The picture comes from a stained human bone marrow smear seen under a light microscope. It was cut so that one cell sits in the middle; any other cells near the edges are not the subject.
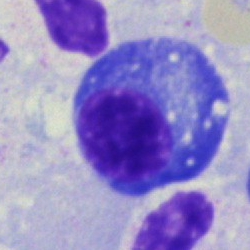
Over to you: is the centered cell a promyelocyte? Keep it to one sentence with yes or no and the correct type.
No, rather than a promyelocyte, the central cell is a plasma cell.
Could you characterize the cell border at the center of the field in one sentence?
Edge check done: smooth outline, no projections present.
